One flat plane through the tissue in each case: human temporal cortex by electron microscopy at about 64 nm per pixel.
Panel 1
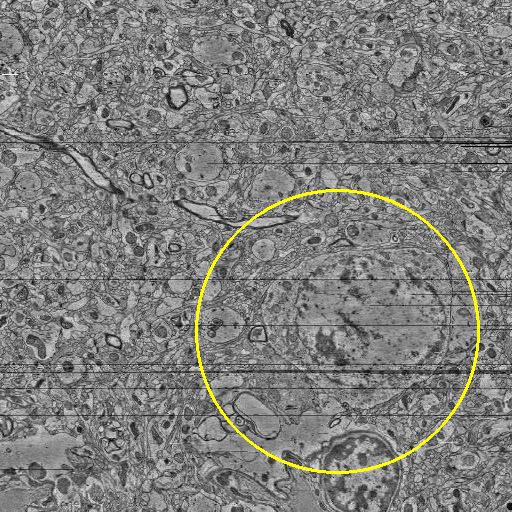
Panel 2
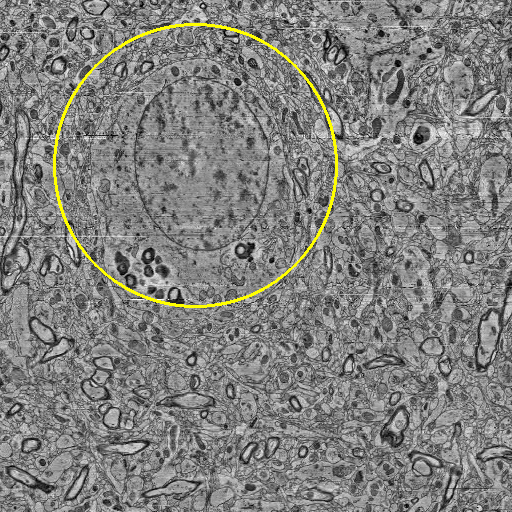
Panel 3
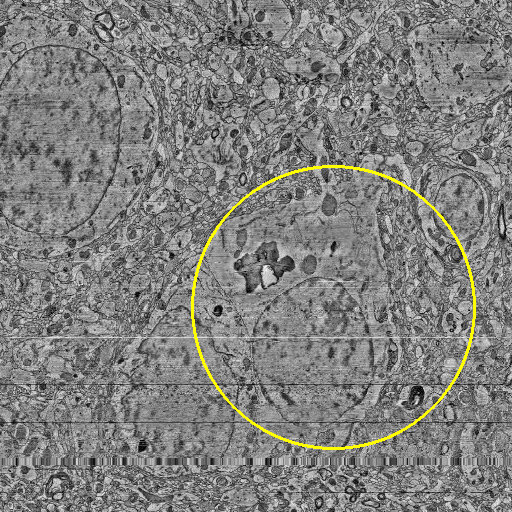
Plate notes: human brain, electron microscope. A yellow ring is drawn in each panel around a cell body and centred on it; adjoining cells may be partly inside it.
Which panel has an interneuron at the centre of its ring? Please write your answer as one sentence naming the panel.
The ring in Panel 1 is centred on such a cell.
